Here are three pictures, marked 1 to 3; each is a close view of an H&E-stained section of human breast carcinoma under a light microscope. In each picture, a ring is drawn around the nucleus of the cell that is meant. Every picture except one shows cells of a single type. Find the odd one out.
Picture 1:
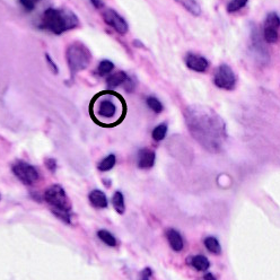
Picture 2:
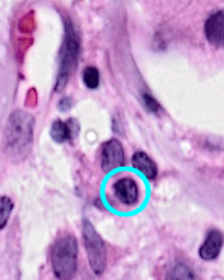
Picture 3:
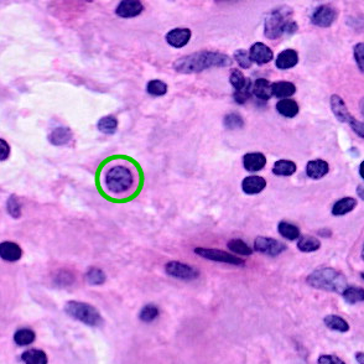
3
